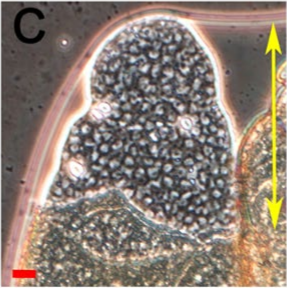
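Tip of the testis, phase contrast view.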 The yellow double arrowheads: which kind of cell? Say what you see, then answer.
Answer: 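The marked zone is filled with small, tightly packed cells. No large round cells with big pale nuclei are seen within the marked zone. That points to this answer: Spermatogonia.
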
